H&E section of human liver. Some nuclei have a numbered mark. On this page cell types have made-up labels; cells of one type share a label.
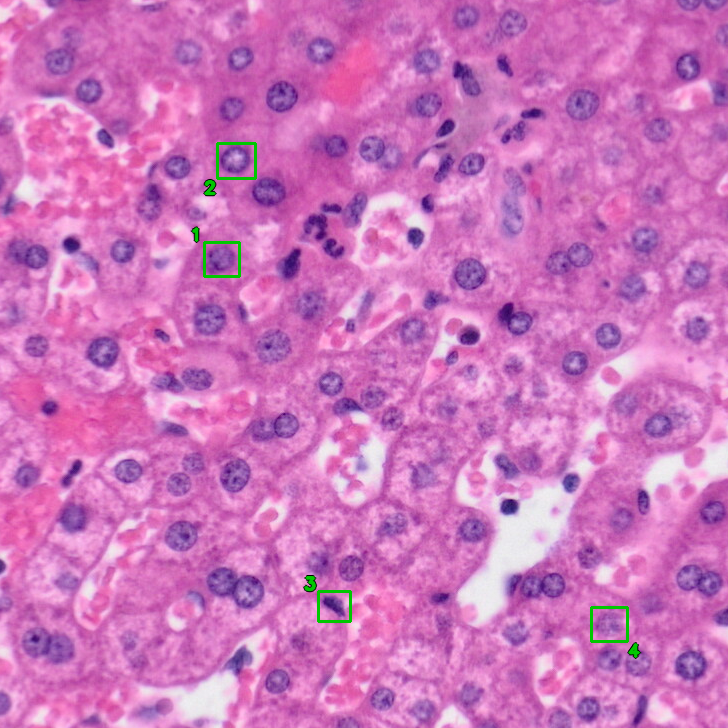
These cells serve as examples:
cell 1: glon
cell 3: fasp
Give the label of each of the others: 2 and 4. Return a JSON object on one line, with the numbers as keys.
{"2": "glon", "4": "glon"}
